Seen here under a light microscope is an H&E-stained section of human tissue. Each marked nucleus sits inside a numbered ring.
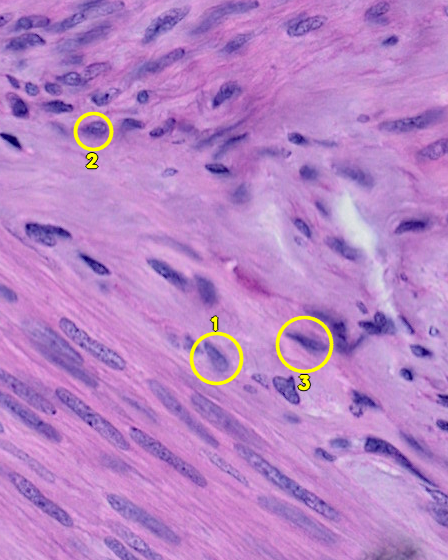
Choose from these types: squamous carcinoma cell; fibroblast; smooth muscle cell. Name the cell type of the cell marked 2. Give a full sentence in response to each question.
The cell referenced by the number 2 is a smooth muscle cell in this field.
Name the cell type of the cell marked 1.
Looking at the numbered marks, cell 1 is a fibroblast.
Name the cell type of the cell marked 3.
Identified by the number 3, the cell is a fibroblast.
